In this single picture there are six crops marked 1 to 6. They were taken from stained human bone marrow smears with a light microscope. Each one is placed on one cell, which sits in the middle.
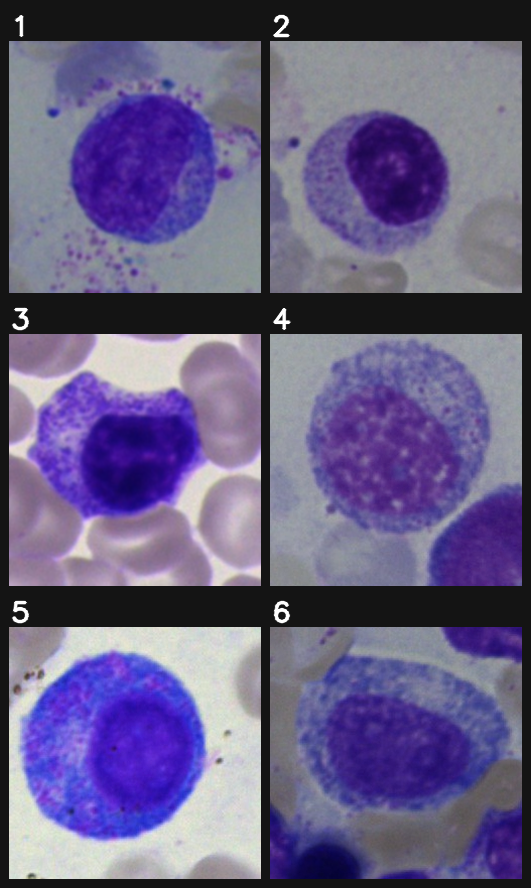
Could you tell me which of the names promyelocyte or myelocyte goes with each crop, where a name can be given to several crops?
1: myelocyte
2: myelocyte
3: myelocyte
4: promyelocyte
5: promyelocyte
6: promyelocyte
